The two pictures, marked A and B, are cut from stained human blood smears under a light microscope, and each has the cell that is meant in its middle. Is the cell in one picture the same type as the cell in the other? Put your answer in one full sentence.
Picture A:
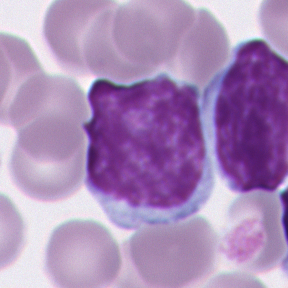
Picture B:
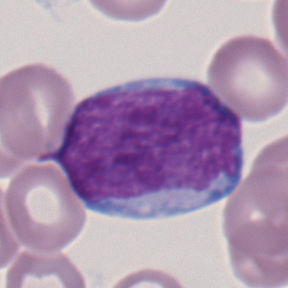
No, picture A shows a typical lymphocyte and picture B shows a myeloblast.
